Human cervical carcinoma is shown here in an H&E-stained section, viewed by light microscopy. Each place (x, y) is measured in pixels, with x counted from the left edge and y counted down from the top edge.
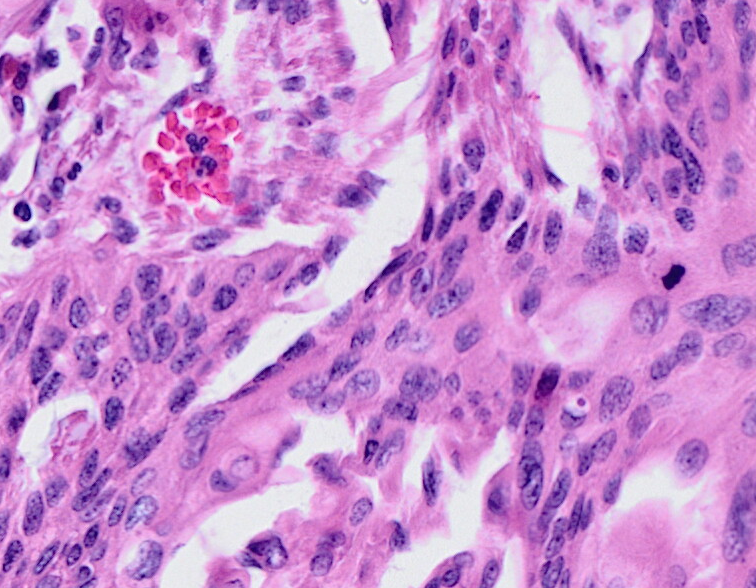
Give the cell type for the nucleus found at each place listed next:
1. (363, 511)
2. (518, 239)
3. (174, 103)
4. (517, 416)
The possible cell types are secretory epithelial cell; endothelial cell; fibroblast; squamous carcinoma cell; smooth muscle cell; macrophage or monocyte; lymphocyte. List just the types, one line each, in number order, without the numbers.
squamous carcinoma cell
squamous carcinoma cell
endothelial cell
squamous carcinoma cell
